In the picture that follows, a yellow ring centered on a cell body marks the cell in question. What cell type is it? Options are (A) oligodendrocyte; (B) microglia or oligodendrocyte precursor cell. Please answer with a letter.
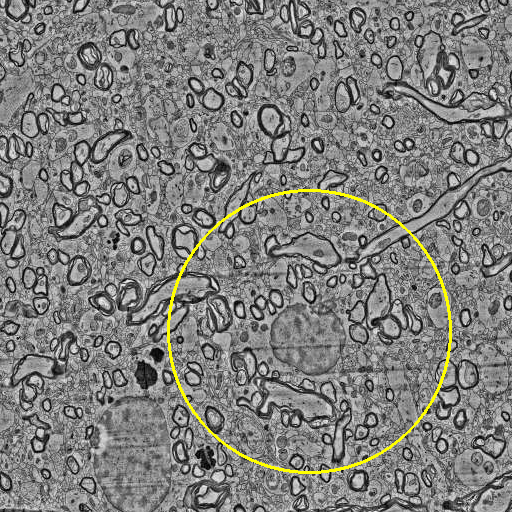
A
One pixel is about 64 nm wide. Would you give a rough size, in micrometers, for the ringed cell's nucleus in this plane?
About 5 micrometres across in this plane.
